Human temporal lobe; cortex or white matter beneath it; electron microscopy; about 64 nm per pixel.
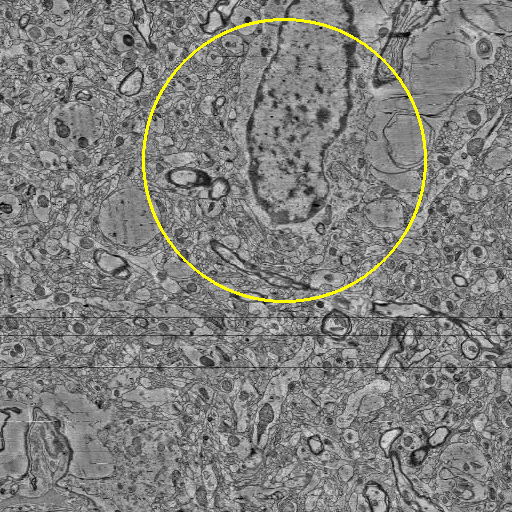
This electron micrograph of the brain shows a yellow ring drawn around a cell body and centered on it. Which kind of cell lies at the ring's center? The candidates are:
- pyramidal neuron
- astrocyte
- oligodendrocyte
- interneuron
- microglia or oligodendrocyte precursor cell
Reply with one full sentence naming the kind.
The cell lying at the ring's center in this micrograph is a microglial cell or oligodendrocyte precursor cell.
